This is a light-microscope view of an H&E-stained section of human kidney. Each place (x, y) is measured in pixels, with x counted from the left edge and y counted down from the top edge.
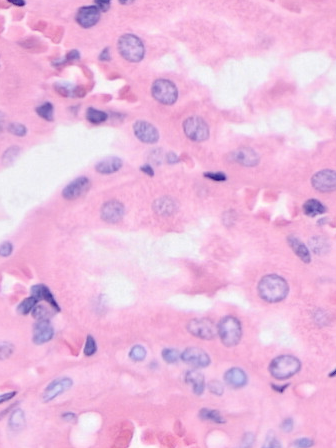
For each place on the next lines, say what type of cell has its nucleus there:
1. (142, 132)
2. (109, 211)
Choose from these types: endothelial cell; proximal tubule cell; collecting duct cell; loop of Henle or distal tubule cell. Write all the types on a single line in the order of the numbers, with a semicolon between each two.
collecting duct cell; proximal tubule cell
